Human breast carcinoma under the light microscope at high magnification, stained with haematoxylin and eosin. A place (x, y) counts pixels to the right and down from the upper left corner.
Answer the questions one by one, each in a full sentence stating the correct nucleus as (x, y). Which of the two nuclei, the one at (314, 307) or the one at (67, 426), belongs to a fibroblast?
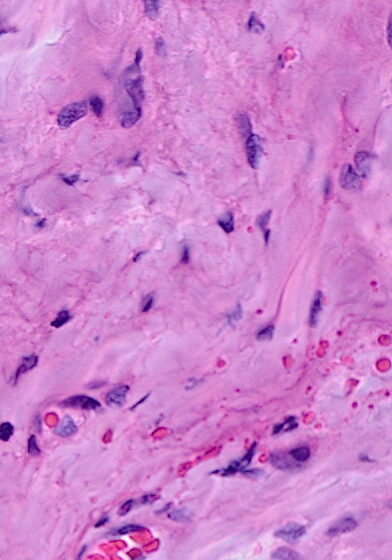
The nucleus at (314, 307) is identified as belonging to a fibroblast.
